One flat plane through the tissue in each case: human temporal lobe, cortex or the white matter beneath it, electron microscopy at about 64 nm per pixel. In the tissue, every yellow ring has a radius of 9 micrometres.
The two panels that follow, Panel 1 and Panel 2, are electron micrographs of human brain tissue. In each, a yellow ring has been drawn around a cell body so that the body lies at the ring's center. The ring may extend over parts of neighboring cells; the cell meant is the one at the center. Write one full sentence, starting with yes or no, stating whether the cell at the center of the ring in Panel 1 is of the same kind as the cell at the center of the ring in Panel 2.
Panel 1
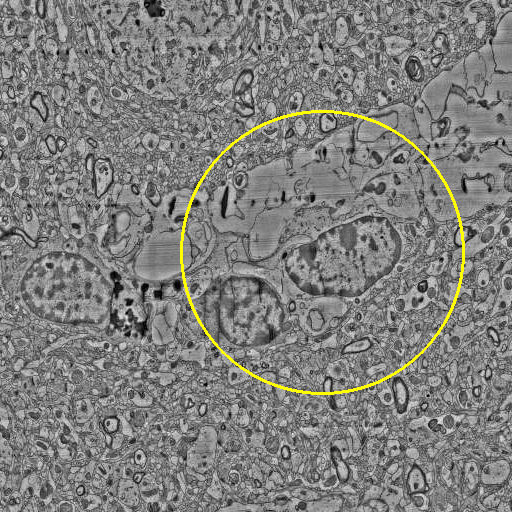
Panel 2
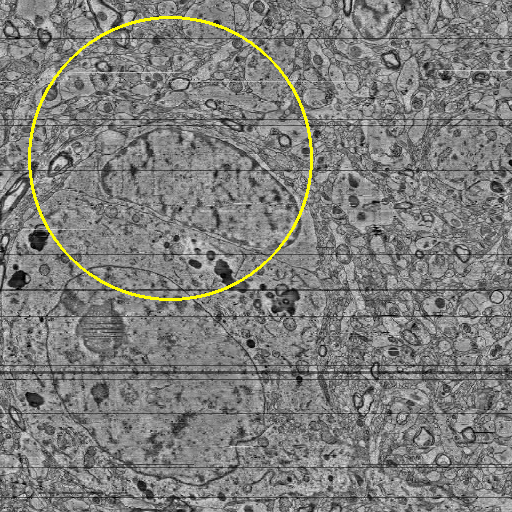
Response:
Yes, the cells in both panels are of the same kind.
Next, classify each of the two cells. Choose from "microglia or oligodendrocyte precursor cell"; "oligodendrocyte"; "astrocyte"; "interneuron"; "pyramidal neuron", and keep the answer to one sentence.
In both pictures the ring is centred on a microglial cell or oligodendrocyte precursor cell.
